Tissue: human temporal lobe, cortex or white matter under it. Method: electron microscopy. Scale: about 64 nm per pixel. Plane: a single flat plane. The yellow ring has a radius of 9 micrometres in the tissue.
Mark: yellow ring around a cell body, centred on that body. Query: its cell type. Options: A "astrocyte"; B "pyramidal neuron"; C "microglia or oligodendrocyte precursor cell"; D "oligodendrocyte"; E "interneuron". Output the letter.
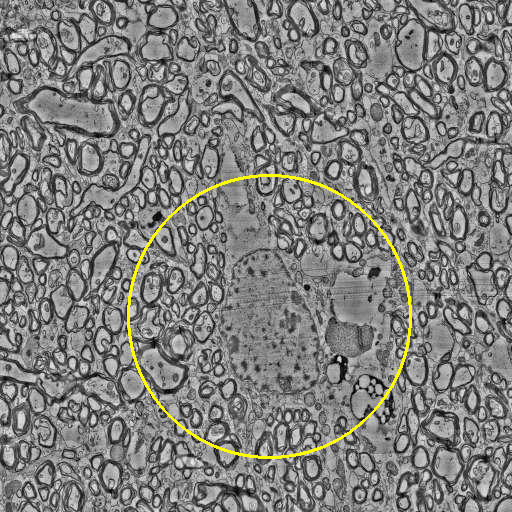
A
